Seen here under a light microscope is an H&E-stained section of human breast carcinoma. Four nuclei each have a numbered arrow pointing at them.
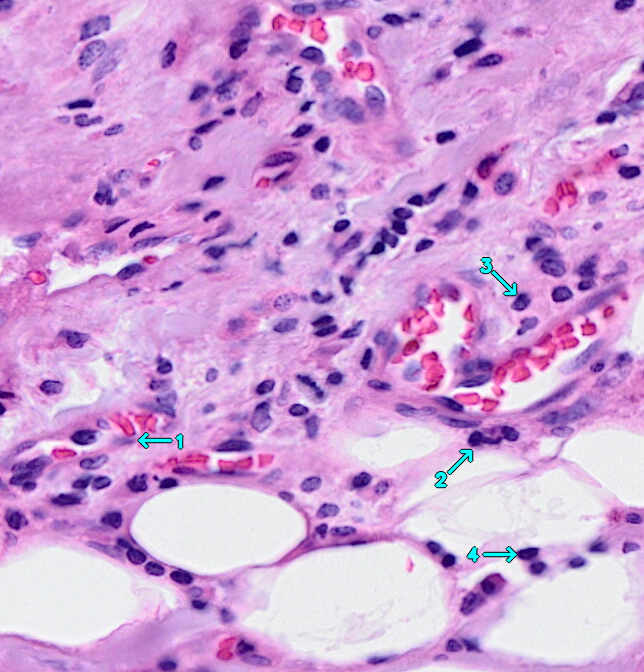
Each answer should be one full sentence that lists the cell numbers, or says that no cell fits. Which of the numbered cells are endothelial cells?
The only cell among those numbered to be an endothelial cell is number 1.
